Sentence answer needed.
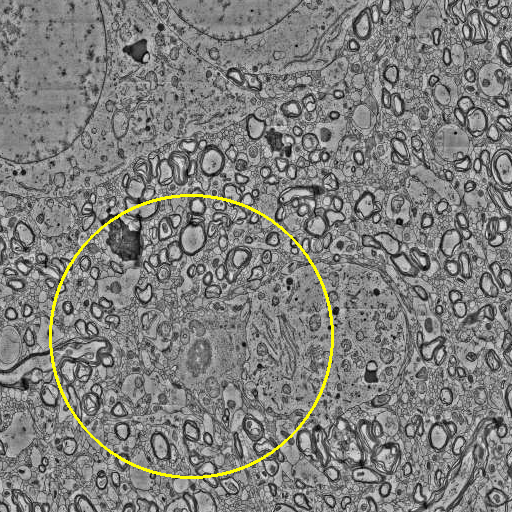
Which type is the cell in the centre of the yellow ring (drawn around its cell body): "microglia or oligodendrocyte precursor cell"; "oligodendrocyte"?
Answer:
In the centre of the yellow ring is an oligodendrocyte.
